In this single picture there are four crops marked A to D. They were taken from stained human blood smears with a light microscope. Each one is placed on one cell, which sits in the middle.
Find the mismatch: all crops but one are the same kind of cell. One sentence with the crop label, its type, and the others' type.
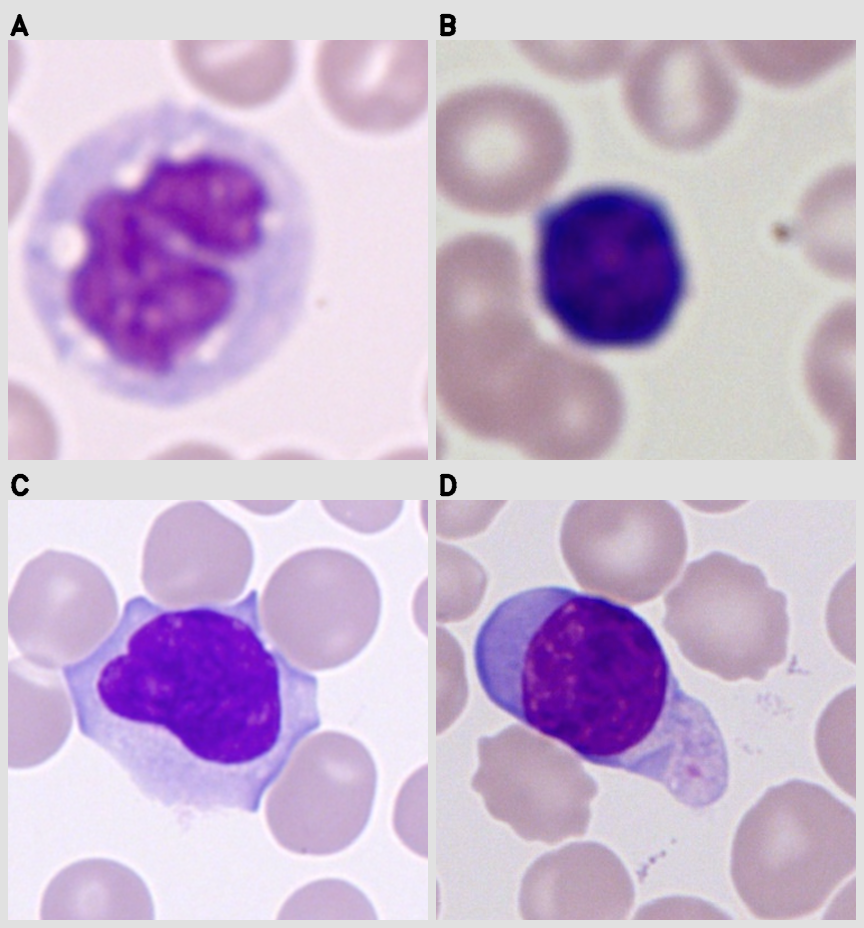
Crop A alone shows a monocyte; the other crops are all lymphocytes.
